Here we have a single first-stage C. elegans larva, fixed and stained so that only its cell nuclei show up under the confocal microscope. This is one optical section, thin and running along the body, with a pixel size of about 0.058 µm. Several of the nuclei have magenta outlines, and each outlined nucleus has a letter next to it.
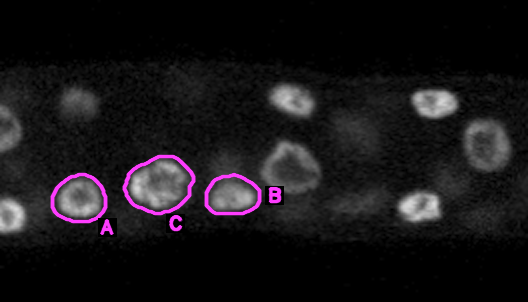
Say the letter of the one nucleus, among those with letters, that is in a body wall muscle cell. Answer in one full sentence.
Nucleus B belongs to a body wall muscle cell.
